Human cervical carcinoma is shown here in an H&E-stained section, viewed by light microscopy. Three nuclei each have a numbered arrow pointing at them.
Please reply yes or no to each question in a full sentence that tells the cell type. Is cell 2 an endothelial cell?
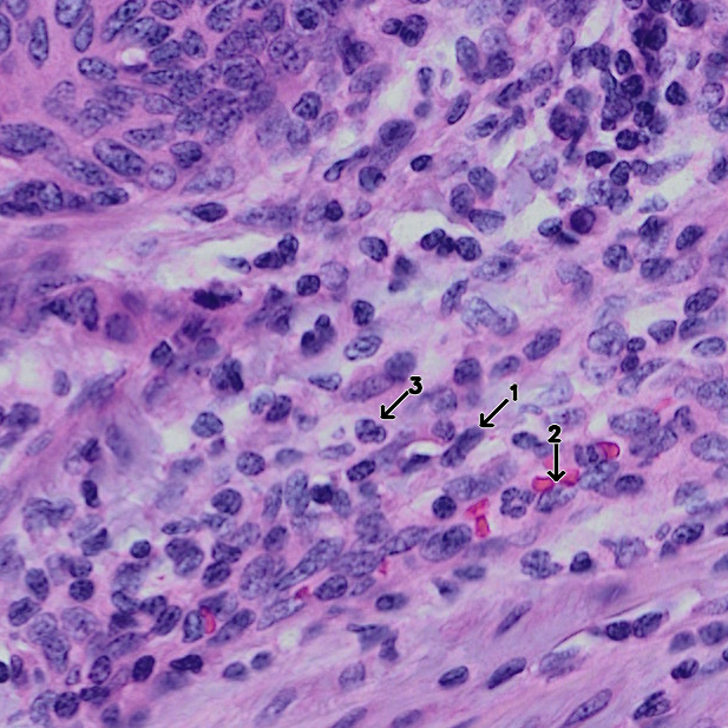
Yes, number 2 is assigned to a cell that is an endothelial cell.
